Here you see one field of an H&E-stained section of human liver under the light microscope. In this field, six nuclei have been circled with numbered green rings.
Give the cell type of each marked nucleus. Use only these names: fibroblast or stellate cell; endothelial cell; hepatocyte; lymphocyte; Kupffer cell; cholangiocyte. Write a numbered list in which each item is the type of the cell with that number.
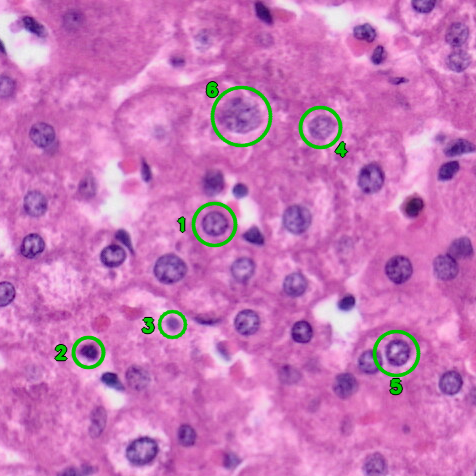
1. hepatocyte
2. lymphocyte
3. lymphocyte
4. hepatocyte
5. hepatocyte
6. hepatocyte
